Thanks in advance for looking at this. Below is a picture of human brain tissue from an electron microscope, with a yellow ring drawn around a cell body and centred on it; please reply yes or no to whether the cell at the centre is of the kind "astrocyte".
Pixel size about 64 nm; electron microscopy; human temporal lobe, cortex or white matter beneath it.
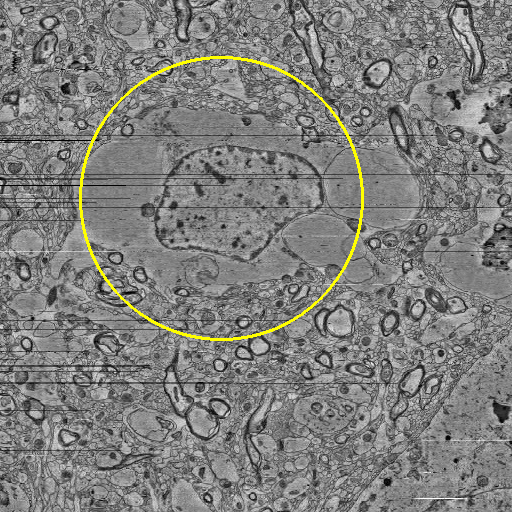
yes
